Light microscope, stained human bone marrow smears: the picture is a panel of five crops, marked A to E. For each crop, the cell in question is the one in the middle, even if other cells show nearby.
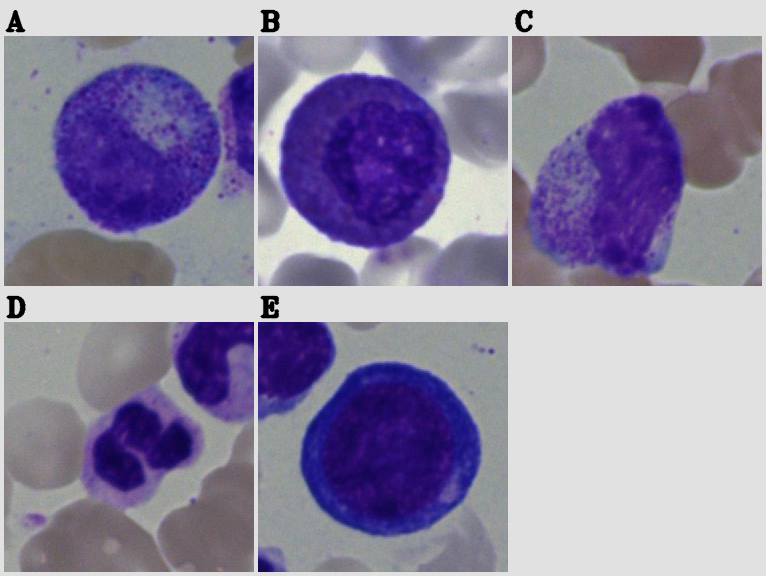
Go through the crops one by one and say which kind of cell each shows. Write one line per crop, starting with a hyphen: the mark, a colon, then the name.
- A: myelocyte
- B: eosinophil
- C: metamyelocyte
- D: segmented neutrophil
- E: proerythroblast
